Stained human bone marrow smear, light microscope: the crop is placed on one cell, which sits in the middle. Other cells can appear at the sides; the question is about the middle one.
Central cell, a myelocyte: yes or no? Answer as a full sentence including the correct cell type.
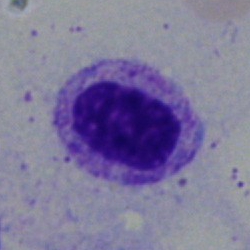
Yes, a myelocyte is what the central cell is.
